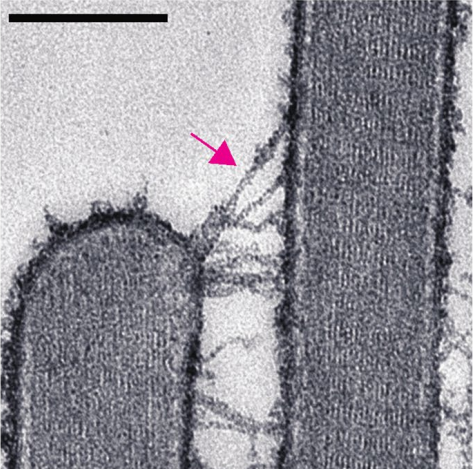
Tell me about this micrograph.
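This electron micrograph shows two stereocilia of a hair cell in longitudinal section, each a membrane-bound rod packed with finely striated, cross-hatched filaments. The shorter one on the left ends in a rounded tip covered with a fuzzy coat.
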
